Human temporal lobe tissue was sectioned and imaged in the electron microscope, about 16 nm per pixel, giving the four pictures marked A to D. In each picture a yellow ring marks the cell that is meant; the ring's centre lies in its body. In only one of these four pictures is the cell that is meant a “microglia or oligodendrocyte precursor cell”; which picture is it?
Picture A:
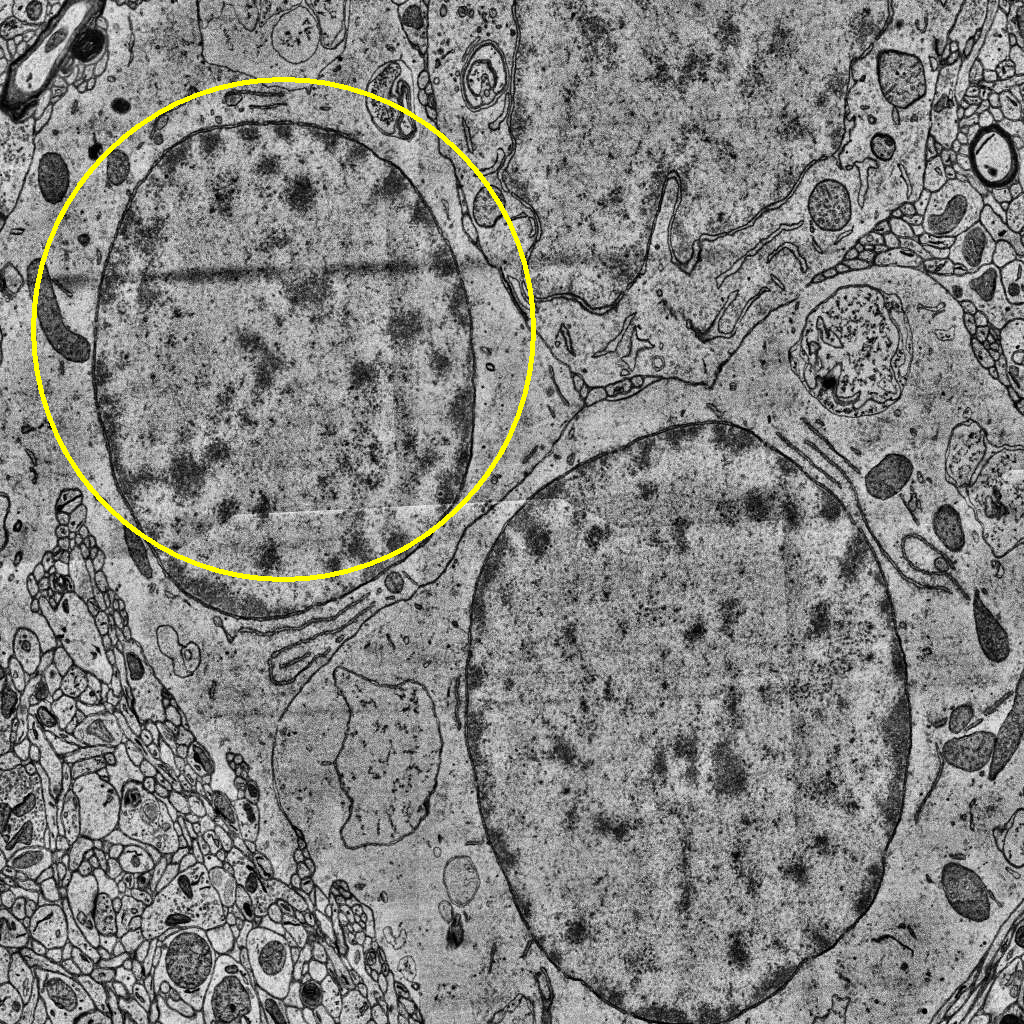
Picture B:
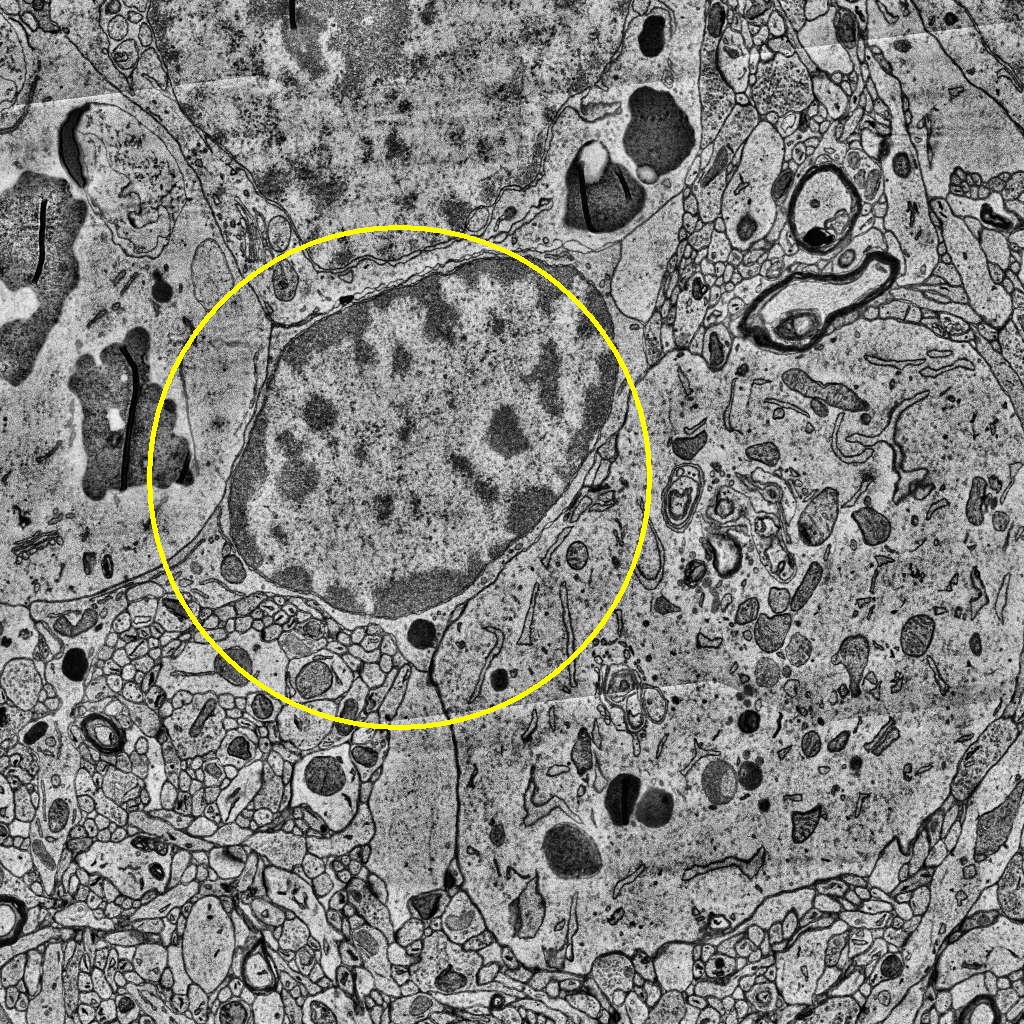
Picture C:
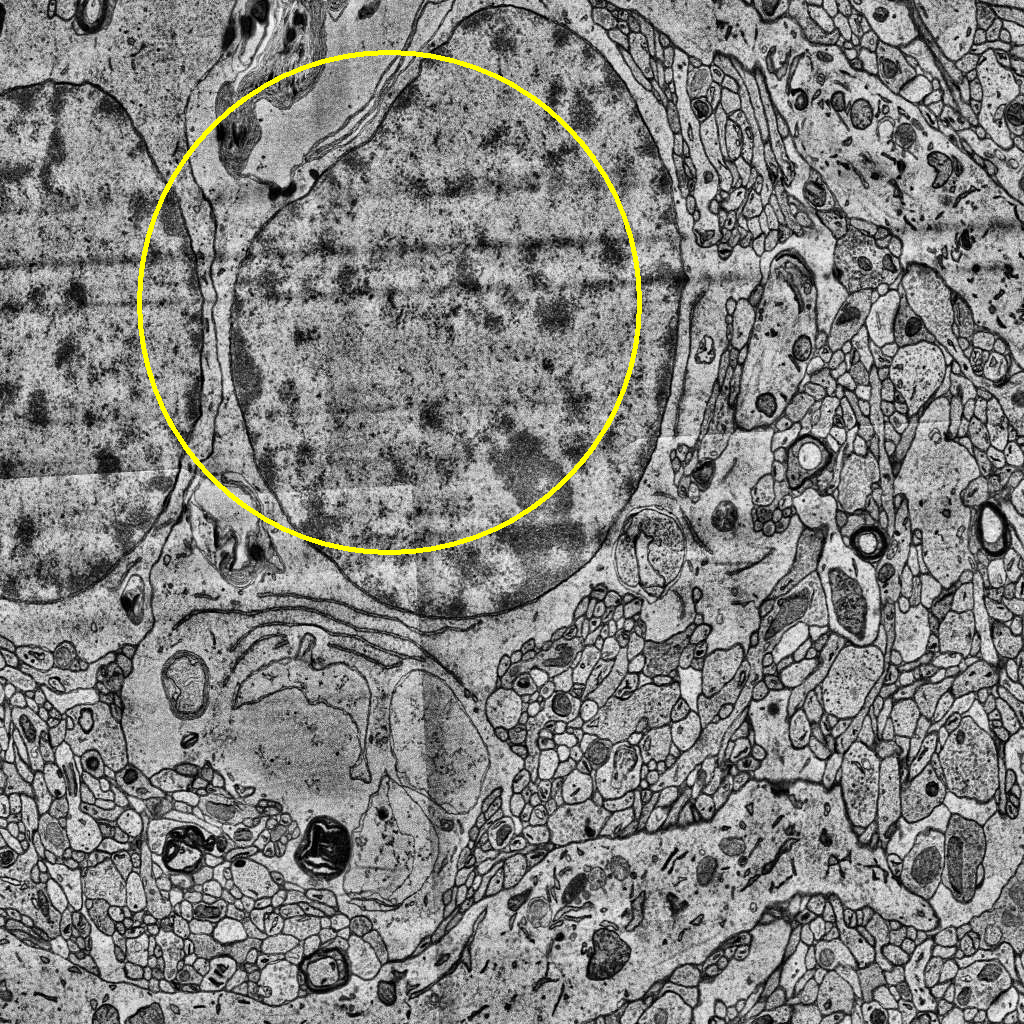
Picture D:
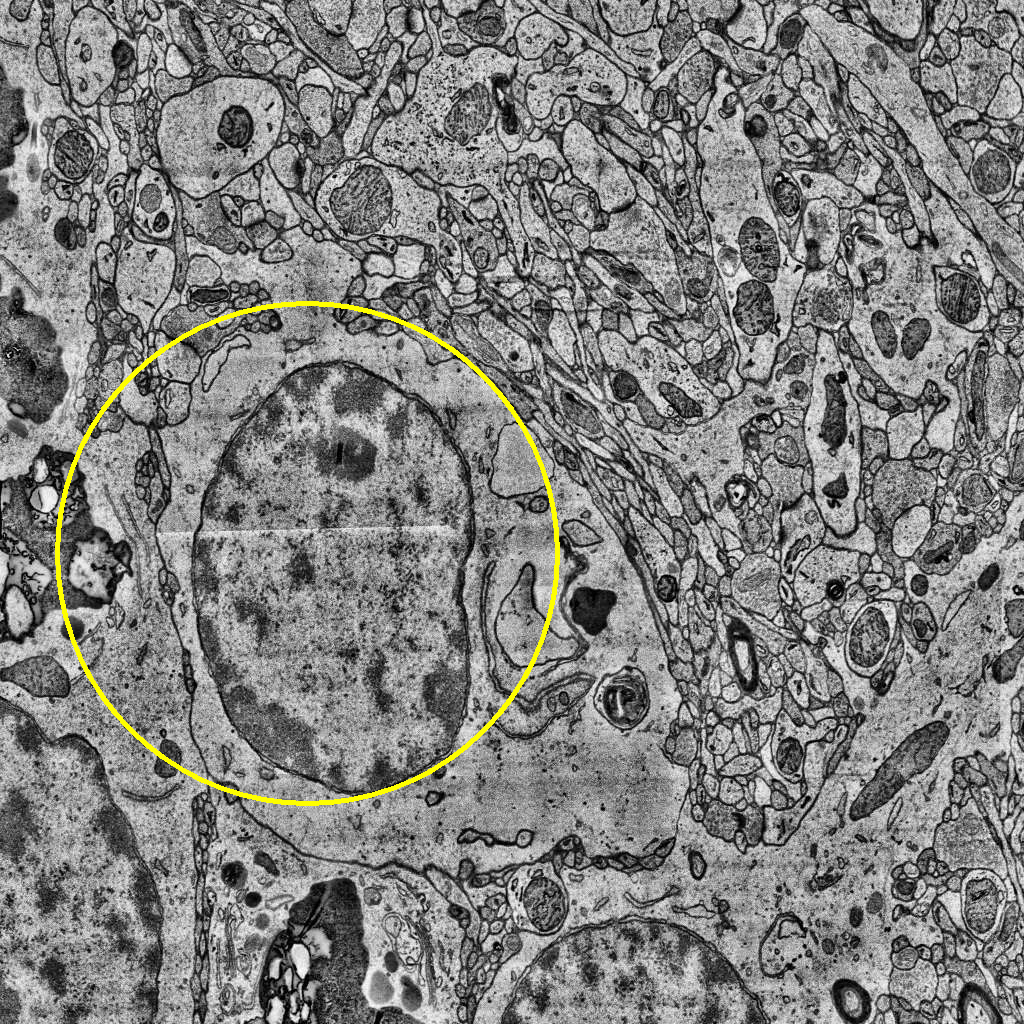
The picture with the “microglia or oligodendrocyte precursor cell” is B.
